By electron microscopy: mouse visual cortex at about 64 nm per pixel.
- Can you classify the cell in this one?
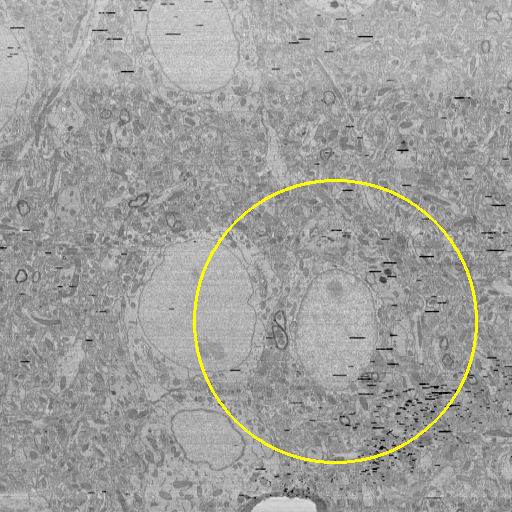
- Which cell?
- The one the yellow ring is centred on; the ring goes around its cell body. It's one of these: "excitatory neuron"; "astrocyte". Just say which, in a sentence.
The cell body in the ring belongs to an astrocyte.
